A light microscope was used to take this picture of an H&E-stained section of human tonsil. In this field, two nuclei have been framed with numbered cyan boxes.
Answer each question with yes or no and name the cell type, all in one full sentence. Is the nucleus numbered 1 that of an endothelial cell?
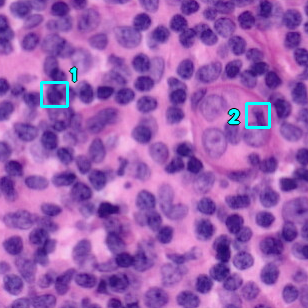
No, the cell carrying number 1 is a small lymphocyte rather than an endothelial cell.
